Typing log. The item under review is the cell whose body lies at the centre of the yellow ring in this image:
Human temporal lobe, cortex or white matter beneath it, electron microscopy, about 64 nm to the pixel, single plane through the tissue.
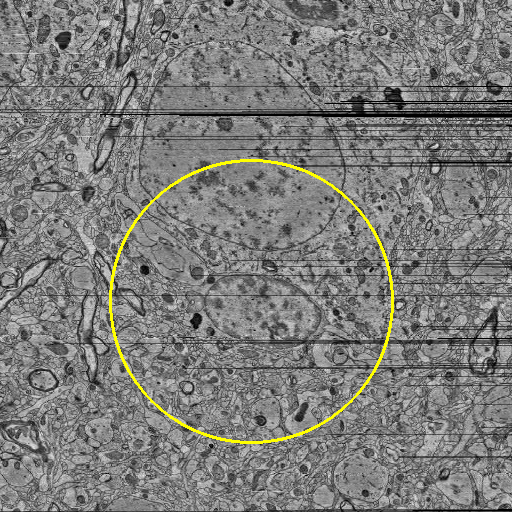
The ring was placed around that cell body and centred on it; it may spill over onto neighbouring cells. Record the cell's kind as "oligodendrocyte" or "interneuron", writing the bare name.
oligodendrocyte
